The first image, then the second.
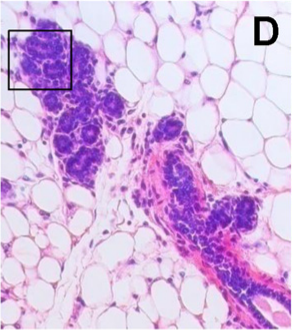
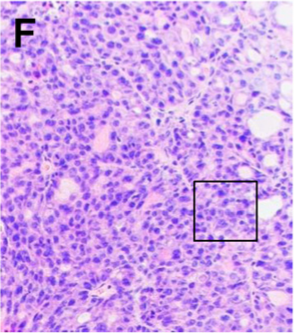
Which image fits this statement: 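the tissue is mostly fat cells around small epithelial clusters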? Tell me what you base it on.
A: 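First image: large clear fat cells fill most of the field around small dark epithelial clusters. That points to this answer: the first image.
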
